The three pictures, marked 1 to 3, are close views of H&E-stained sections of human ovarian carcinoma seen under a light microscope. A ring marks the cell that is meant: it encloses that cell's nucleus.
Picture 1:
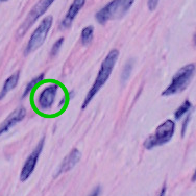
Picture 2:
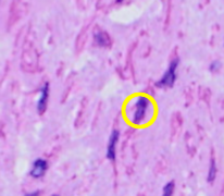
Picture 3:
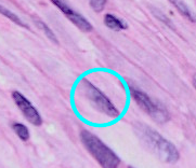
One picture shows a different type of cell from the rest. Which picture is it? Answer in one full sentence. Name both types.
Picture 1 is the odd one out: it shows a smooth muscle cell, while the others show fibroblasts.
